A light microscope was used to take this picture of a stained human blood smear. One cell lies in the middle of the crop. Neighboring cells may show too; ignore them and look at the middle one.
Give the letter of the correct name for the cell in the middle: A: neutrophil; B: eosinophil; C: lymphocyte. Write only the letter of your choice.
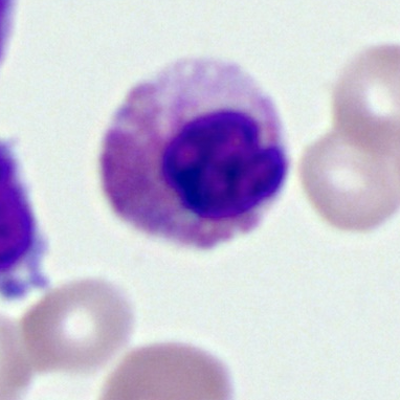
B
